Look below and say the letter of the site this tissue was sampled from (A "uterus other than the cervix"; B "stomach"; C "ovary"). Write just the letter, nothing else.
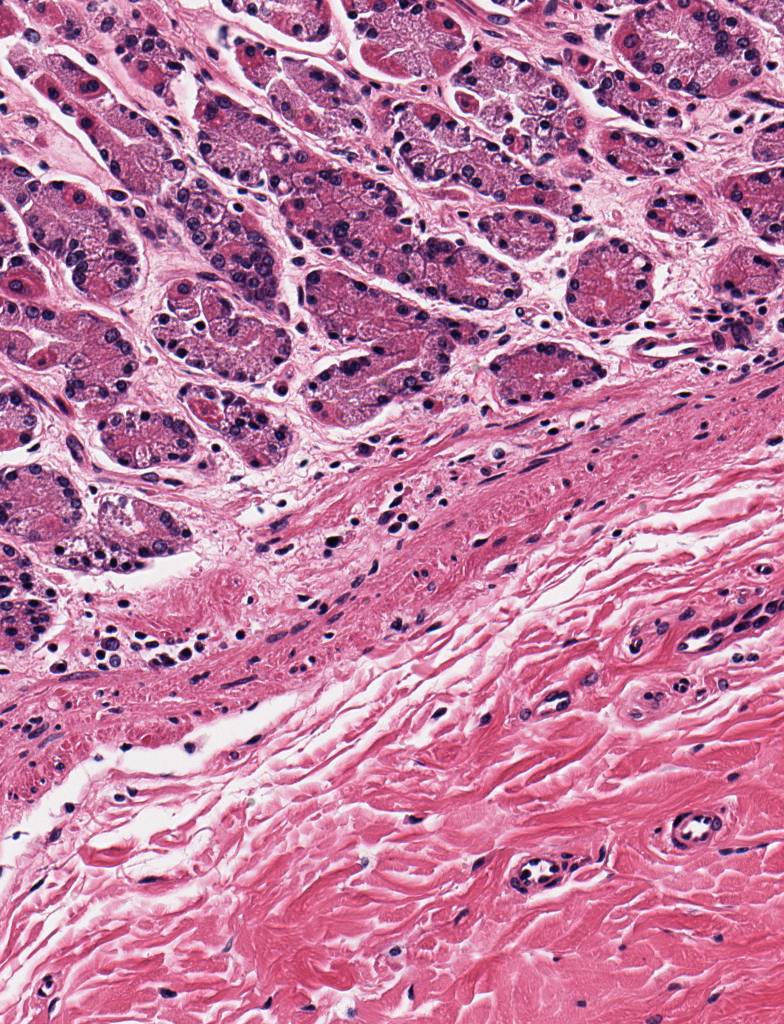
B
